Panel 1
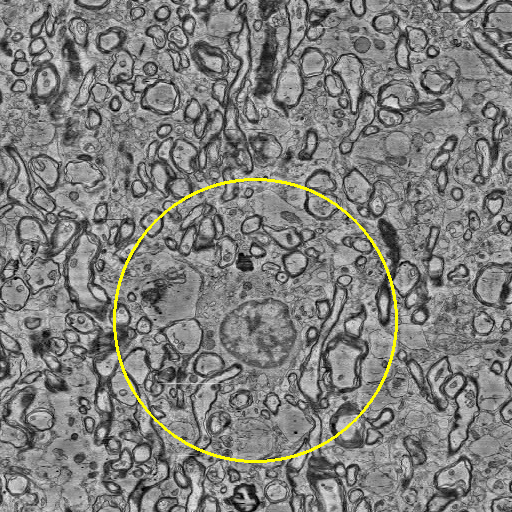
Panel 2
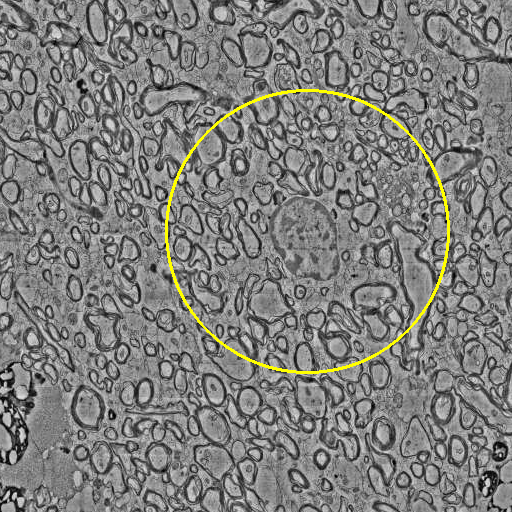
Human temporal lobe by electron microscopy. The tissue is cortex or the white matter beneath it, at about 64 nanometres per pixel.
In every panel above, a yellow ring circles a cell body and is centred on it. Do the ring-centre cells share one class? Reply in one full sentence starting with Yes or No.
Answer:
No, the two cells at the ring centres in the panels belong to two classes.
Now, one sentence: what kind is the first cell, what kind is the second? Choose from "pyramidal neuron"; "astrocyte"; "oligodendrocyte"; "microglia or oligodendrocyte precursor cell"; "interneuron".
The first picture has an oligodendrocyte at its ring centre, and the second has a microglial cell or oligodendrocyte precursor cell.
